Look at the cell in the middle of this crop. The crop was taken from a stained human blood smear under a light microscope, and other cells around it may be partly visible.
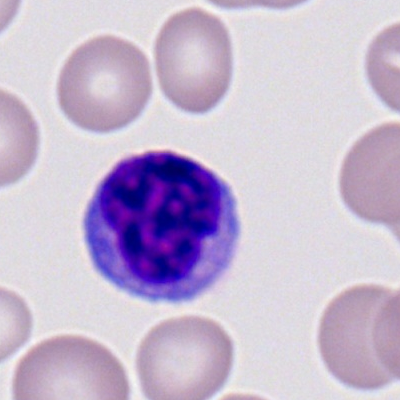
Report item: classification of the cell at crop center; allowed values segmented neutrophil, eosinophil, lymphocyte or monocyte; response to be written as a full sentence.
Standing at the centre of this crop is a lymphocyte.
